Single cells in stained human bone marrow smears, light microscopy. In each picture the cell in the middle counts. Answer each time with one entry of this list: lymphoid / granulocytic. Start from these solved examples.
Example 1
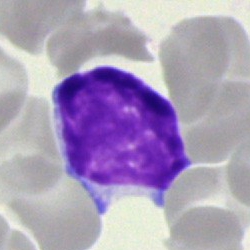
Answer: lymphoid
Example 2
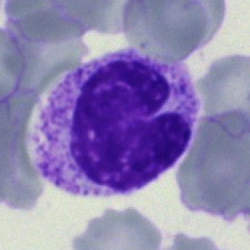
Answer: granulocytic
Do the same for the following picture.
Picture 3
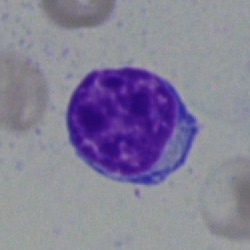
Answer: lymphoid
